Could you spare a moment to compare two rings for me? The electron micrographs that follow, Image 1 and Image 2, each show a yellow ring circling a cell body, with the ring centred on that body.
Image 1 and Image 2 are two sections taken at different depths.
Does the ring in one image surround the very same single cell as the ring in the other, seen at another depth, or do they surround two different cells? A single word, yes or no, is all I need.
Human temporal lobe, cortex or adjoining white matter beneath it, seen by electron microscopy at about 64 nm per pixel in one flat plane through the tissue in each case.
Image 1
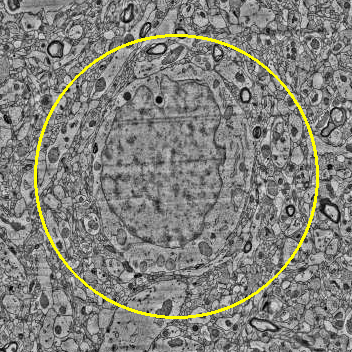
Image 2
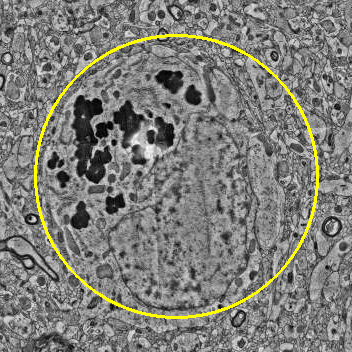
no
